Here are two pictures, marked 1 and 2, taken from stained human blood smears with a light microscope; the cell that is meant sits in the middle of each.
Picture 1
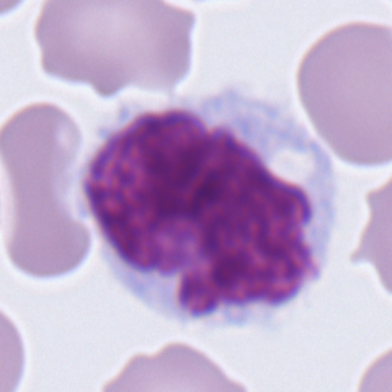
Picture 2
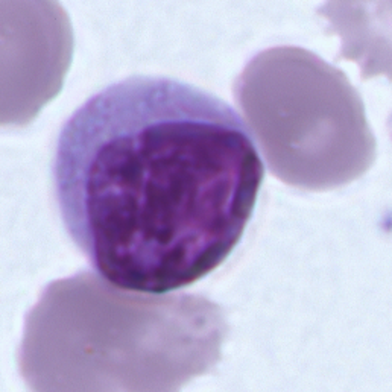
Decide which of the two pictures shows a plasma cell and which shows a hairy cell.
1: hairy cell
2: plasma cell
